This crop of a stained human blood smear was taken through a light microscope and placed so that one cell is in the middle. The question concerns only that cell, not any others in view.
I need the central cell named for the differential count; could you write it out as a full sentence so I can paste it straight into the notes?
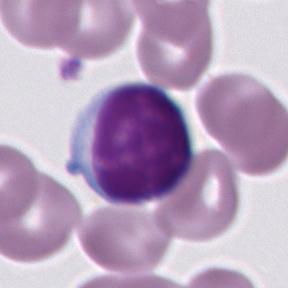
What the crop centres on is a typical lymphocyte.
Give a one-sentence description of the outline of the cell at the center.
Projections or ragged segments give this cell an irregular rather than smooth border.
